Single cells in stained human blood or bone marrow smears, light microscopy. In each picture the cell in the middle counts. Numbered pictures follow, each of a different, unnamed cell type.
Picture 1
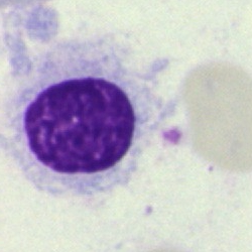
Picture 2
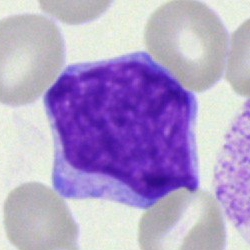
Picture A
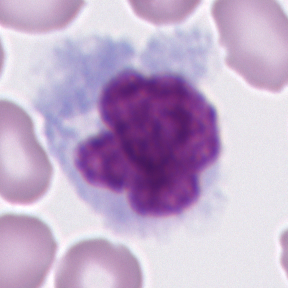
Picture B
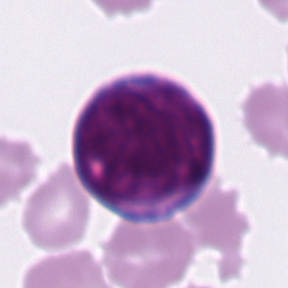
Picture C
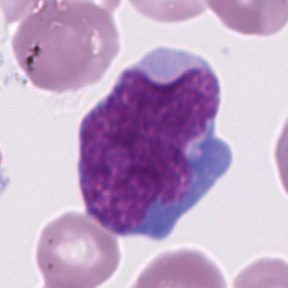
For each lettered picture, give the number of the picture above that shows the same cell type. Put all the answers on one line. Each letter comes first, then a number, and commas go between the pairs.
A 1, B 2, C 2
